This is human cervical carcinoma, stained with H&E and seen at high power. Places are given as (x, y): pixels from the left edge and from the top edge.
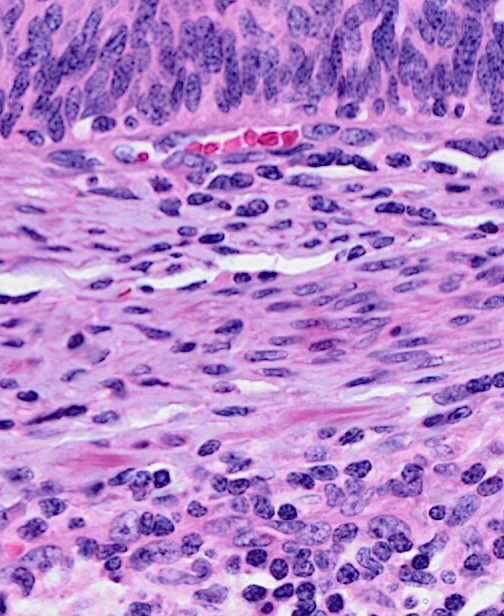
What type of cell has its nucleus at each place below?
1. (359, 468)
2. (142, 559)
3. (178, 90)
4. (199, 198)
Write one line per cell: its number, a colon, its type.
1: lymphocyte
2: lymphocyte
3: squamous carcinoma cell
4: lymphocyte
